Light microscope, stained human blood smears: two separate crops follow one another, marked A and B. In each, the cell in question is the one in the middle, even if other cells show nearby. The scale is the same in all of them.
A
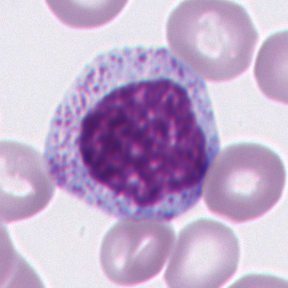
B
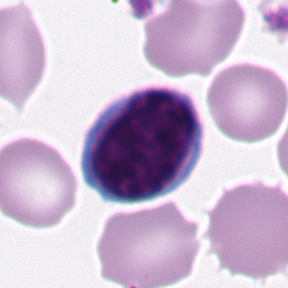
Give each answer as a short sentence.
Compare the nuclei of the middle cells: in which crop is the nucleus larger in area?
The nucleus in crop A is larger, with about 1.5 times the area of the one in crop B.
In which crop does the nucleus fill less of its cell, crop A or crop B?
It is the cell in crop A that is filled less by its nucleus.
